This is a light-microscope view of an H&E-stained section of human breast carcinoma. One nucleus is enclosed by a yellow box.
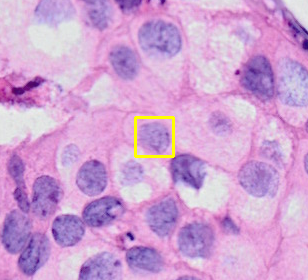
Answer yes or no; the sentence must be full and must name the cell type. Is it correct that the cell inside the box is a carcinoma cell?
Yes, the cell inside the box represents a carcinoma cell in this tissue.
